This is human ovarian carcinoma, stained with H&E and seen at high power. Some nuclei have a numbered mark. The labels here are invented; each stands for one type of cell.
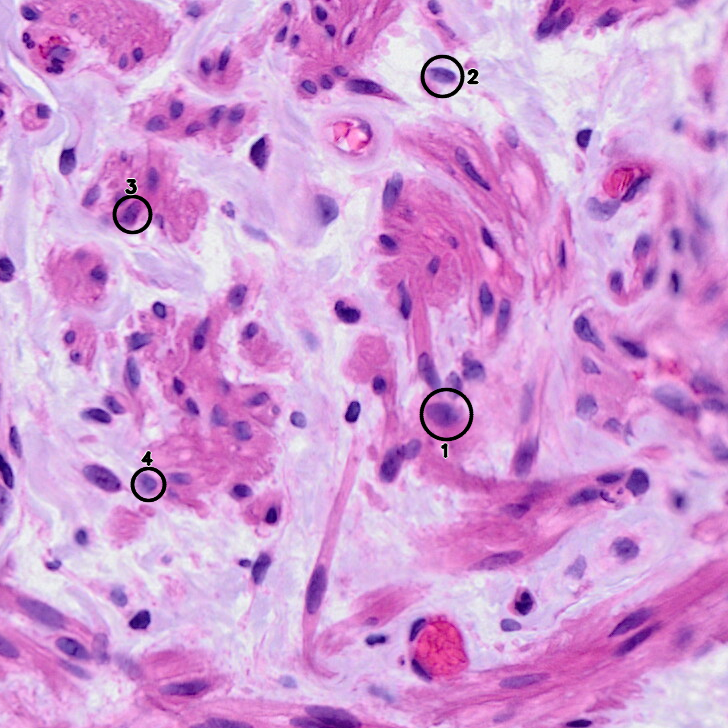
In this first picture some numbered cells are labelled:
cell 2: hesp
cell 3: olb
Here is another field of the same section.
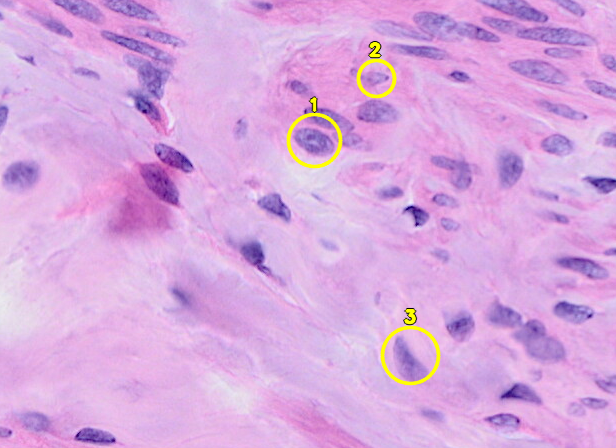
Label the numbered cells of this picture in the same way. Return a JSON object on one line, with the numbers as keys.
{"1": "olb", "2": "olb", "3": "hesp"}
